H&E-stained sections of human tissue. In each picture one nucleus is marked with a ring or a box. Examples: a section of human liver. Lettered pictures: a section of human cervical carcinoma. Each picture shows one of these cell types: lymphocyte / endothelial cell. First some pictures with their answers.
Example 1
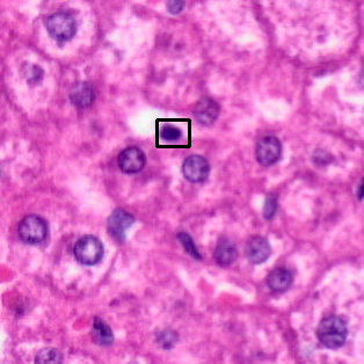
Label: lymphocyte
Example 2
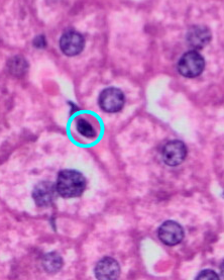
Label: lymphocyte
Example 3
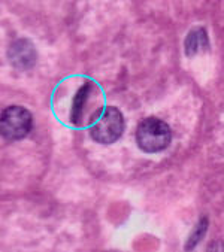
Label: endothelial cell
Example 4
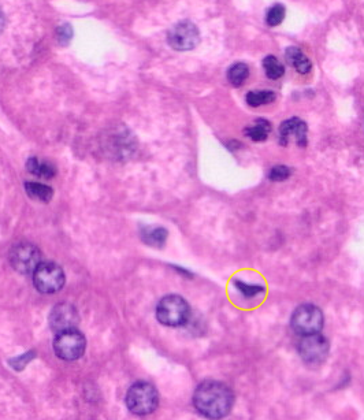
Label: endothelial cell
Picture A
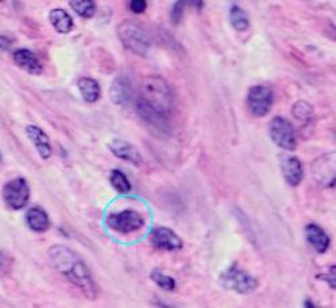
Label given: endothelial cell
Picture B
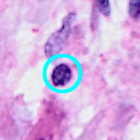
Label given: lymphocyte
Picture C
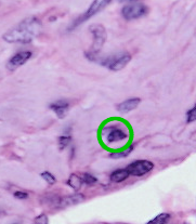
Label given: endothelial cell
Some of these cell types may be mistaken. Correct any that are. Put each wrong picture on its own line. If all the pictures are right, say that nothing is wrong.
A: change endothelial cell to lymphocyte
C: change endothelial cell to lymphocyte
